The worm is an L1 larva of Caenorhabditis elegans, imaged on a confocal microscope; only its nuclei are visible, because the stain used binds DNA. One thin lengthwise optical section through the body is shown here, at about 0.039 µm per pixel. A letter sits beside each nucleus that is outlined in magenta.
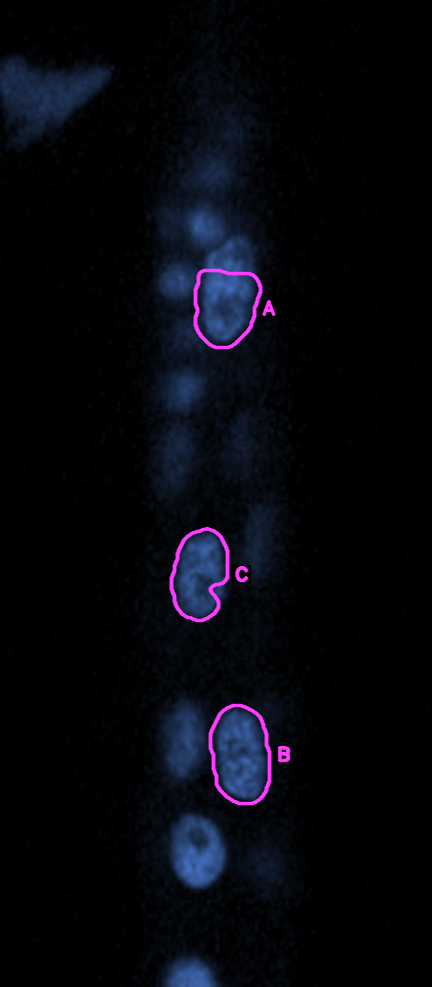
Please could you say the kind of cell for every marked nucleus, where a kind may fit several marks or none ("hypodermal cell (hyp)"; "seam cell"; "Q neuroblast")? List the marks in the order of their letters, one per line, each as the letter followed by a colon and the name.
A: hypodermal cell (hyp)
B: hypodermal cell (hyp)
C: seam cell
